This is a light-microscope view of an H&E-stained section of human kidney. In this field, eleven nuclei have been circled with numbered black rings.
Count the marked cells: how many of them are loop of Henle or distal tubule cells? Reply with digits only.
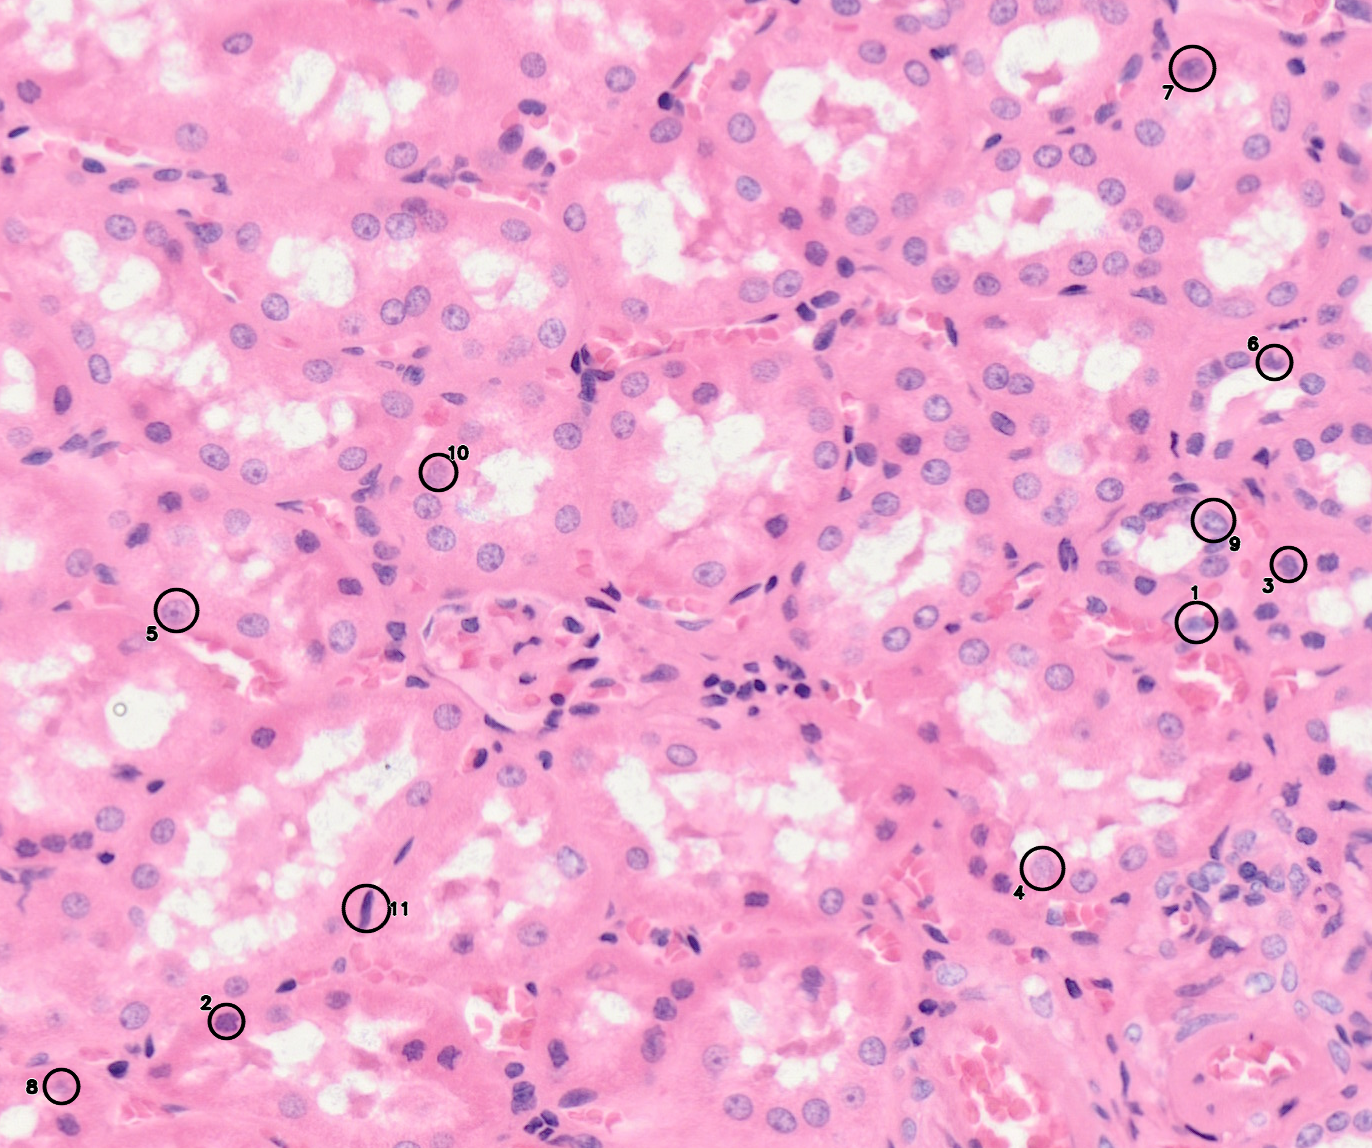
2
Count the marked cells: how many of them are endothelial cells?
2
